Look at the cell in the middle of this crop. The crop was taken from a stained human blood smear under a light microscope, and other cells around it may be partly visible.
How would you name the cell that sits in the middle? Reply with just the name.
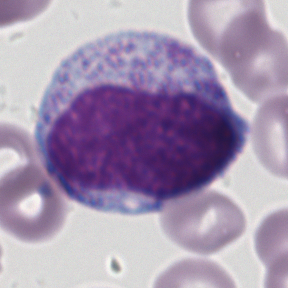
promyelocyte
